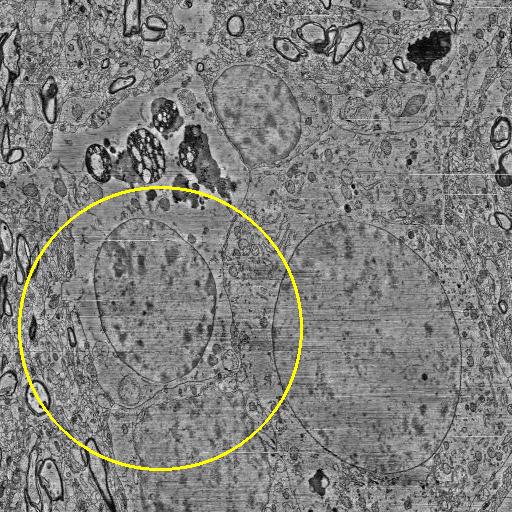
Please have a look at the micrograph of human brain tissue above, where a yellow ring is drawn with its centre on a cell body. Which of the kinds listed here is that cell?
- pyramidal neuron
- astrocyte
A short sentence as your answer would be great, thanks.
At the centre of the ring sits an astrocyte.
